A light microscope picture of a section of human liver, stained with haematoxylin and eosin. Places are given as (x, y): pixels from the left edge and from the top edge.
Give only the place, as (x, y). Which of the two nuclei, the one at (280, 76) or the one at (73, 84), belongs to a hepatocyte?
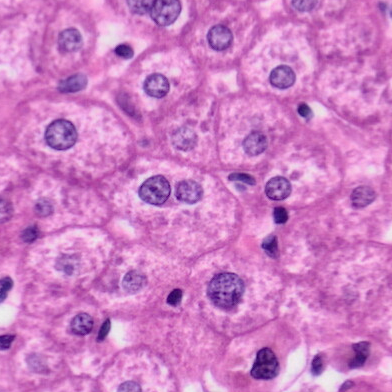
(280, 76)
